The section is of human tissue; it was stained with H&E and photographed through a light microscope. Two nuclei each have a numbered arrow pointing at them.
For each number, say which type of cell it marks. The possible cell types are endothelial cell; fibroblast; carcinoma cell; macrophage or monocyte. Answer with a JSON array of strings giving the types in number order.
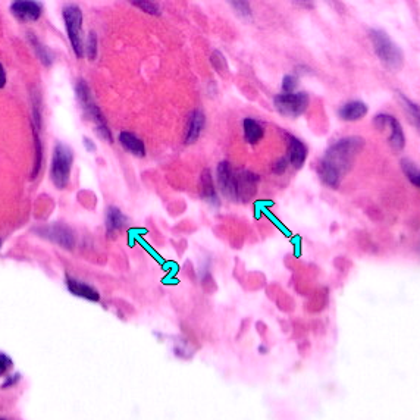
["endothelial cell", "fibroblast"]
